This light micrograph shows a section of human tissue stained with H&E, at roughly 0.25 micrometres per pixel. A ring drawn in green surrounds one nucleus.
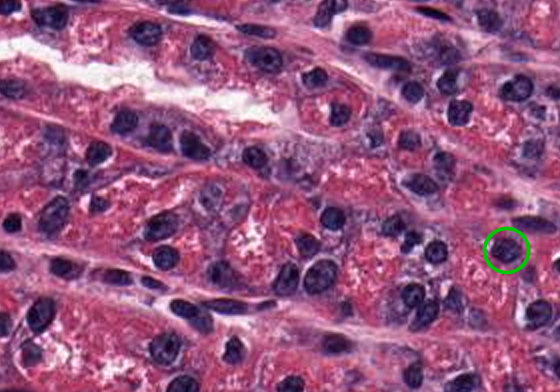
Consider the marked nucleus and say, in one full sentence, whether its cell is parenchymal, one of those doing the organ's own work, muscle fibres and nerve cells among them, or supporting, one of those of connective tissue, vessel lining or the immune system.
The marked nucleus is held by a parenchymal cell, namely a parietal cell.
